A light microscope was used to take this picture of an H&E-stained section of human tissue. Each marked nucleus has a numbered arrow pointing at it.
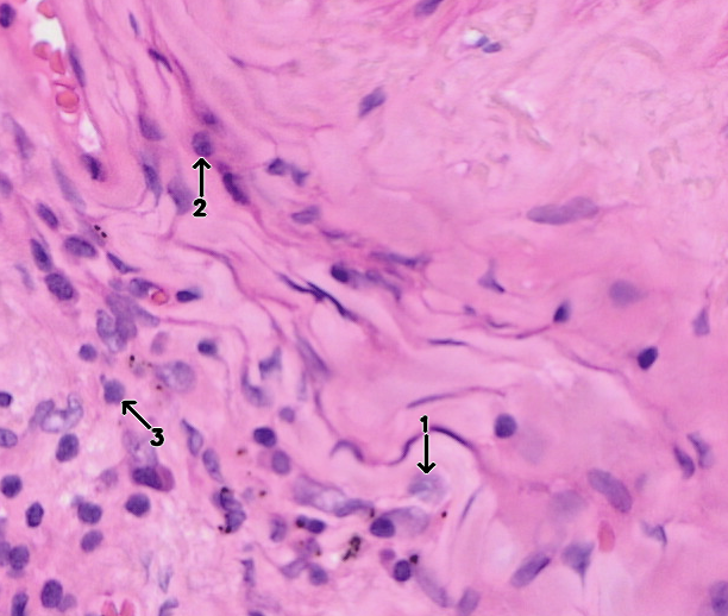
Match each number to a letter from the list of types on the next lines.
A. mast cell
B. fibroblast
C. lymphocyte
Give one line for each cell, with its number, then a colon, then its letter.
1: B
2: A
3: C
